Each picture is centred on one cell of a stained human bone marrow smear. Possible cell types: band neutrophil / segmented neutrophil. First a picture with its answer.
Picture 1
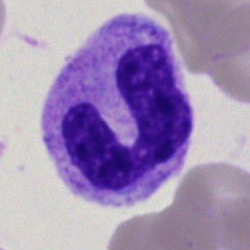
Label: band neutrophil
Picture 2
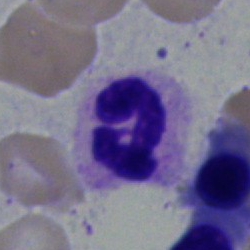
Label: segmented neutrophil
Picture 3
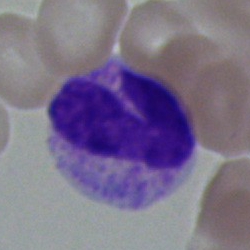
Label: band neutrophil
